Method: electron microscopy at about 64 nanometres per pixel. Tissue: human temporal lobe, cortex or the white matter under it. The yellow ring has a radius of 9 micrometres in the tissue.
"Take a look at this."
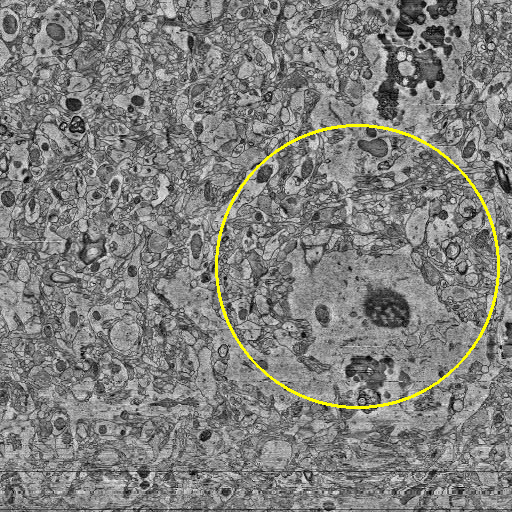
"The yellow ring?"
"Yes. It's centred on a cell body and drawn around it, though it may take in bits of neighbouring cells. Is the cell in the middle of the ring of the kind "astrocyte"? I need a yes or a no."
Yes, it is of the kind asked about.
